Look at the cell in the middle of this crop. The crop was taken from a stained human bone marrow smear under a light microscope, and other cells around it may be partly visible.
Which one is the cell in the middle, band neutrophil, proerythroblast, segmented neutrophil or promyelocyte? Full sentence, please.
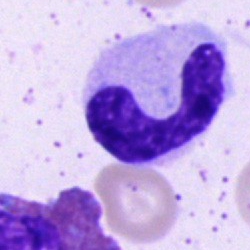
For this crop, the central cell is a band neutrophil.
